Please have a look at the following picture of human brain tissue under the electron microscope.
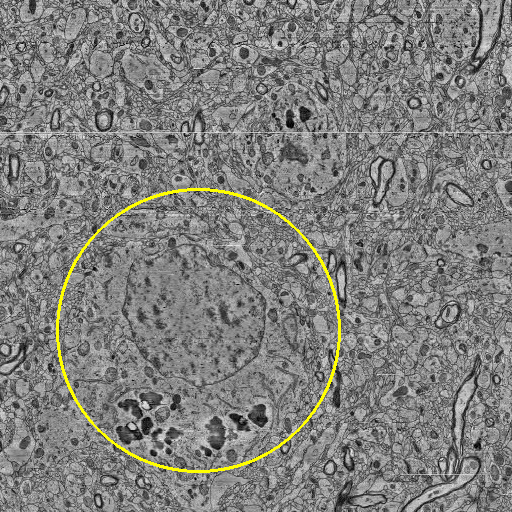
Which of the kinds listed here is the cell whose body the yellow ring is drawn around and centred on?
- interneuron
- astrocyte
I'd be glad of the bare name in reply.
interneuron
